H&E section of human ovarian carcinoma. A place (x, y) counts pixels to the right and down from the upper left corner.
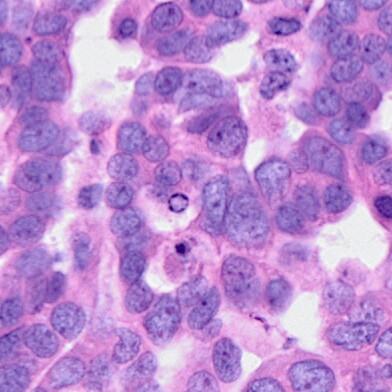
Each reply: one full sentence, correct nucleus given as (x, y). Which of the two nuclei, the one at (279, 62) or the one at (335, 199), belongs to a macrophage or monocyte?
The nucleus at (279, 62), rather than the other one, belongs to a macrophage or monocyte.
